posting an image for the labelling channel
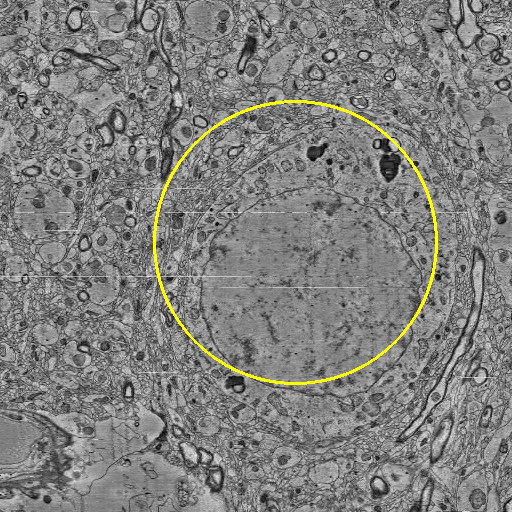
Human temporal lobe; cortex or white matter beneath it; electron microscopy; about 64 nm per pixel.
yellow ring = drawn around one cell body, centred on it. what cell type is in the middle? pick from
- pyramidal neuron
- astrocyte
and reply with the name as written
pyramidal neuron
